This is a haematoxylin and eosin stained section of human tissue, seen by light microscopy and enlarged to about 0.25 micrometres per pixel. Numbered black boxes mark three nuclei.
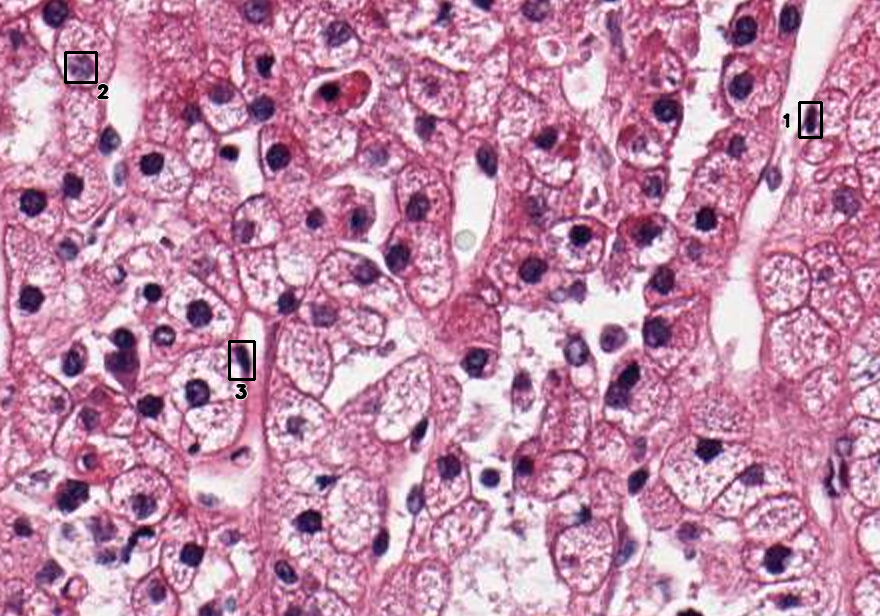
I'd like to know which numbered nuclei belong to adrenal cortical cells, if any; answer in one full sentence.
Of the numbered nuclei, only nucleus 2 belongs to an adrenal cortical cell.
